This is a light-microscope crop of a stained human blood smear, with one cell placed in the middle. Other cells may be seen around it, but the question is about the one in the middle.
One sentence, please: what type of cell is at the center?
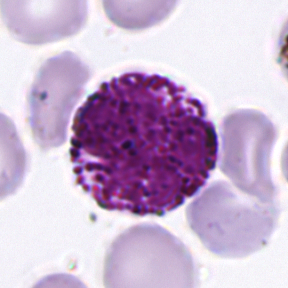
The cell the crop is centered on is a basophil.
